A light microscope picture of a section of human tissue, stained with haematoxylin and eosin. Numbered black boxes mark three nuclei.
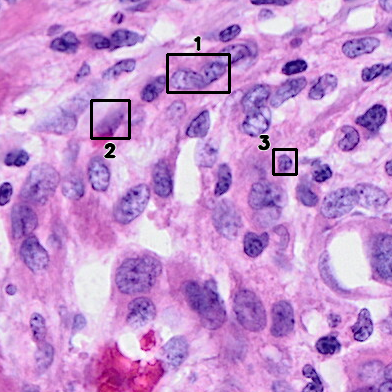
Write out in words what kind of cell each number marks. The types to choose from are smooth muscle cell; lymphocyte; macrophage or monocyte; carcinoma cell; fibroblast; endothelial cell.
Cells 1 and 2 are endothelial cells. Cell 3 is a lymphocyte.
